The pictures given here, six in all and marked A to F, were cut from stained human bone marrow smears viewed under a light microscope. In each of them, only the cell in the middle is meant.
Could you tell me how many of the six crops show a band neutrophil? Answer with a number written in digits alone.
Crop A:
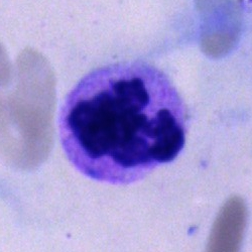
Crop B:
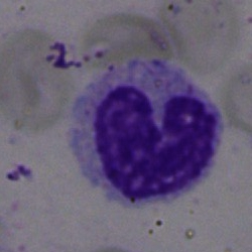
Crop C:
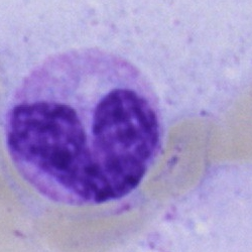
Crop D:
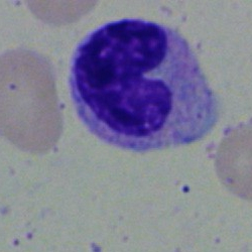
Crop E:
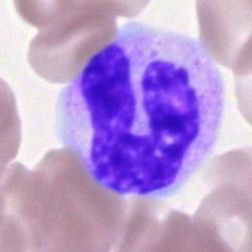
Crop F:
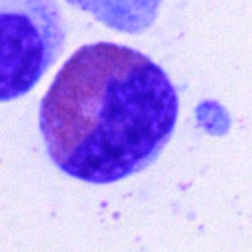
3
